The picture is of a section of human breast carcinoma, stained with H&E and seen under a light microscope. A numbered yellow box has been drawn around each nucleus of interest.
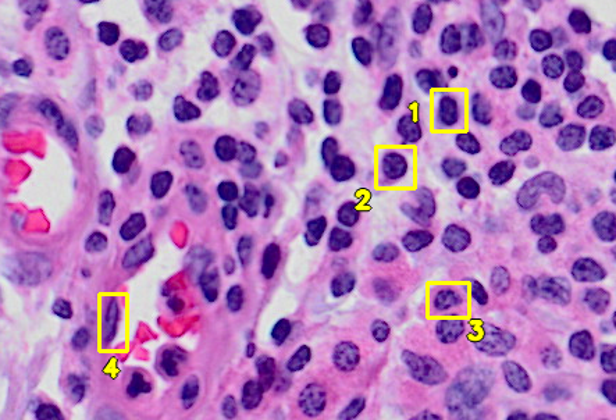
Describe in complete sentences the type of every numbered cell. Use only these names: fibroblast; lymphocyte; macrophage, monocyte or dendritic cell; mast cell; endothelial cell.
Cell 1 is a lymphocyte, cell 2 is a lymphocyte, cell 3 is a mast cell and cell 4 is an endothelial cell.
